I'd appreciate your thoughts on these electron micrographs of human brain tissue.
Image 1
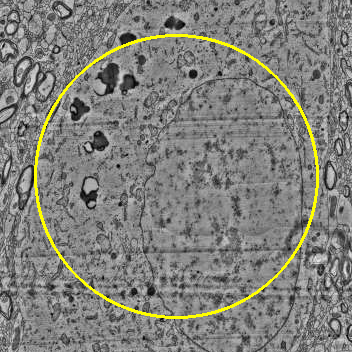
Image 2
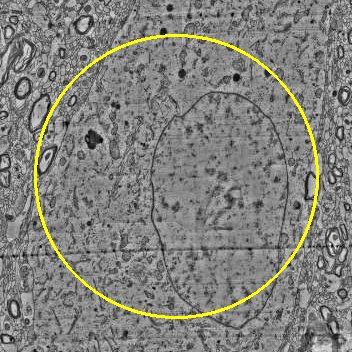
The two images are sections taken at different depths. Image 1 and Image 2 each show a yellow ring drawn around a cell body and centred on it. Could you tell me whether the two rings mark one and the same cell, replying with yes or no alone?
yes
